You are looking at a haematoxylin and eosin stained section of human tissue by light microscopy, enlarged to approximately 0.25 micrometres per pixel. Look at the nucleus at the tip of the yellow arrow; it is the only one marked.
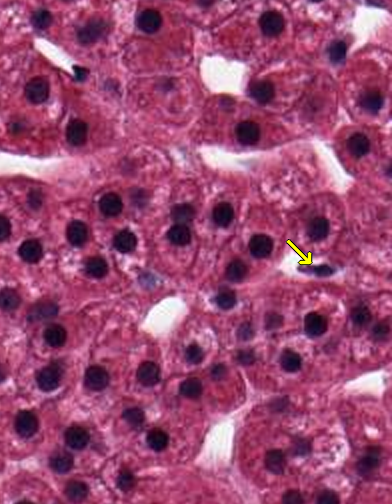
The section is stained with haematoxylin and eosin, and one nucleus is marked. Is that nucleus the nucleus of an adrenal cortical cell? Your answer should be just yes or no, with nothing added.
no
